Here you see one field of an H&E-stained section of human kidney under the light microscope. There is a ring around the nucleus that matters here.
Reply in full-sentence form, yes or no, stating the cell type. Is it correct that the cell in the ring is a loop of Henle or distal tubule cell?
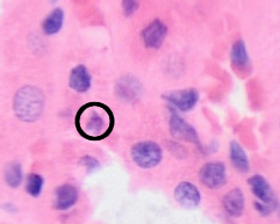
Yes, the identification of the cell in the ring as a loop of Henle or distal tubule cell stands.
